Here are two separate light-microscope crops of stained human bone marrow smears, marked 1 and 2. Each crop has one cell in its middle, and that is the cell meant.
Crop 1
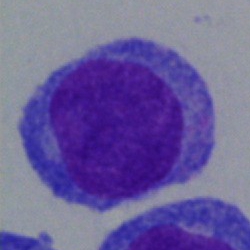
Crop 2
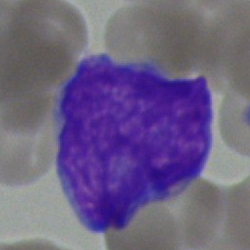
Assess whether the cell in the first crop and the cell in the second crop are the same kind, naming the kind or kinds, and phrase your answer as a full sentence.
Yes, both crops are centred on blasts.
